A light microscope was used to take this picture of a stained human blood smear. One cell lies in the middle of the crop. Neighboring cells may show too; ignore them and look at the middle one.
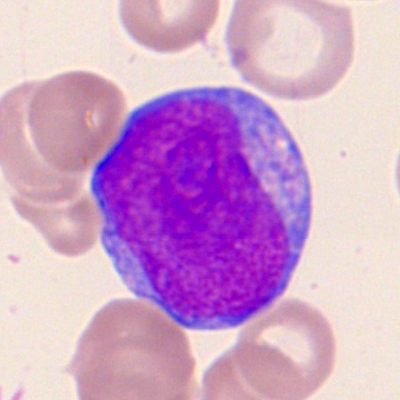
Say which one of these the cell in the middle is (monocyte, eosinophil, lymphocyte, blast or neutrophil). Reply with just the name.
blast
